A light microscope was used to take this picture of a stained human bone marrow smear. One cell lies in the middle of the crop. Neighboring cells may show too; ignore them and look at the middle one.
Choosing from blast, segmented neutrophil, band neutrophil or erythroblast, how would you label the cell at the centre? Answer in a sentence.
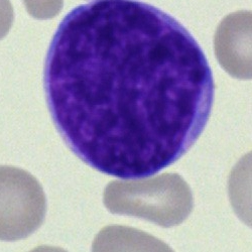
The cell at the heart of this crop is a blast.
